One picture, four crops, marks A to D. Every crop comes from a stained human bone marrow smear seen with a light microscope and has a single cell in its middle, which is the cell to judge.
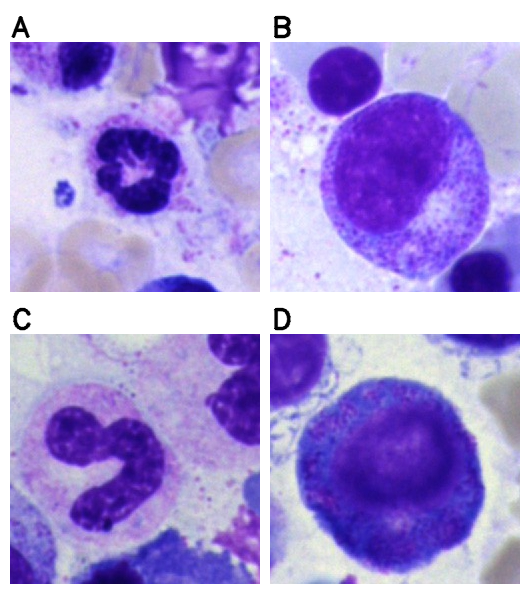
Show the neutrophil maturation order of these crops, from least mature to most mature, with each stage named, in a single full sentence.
Sequenced by maturity, least first, the crops are crop D (a promyelocyte), crop B (a myelocyte), crop C (a band neutrophil) and crop A (a segmented neutrophil).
